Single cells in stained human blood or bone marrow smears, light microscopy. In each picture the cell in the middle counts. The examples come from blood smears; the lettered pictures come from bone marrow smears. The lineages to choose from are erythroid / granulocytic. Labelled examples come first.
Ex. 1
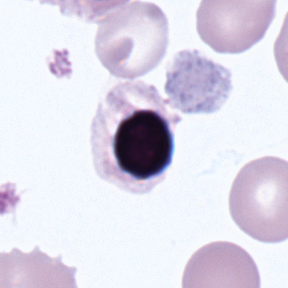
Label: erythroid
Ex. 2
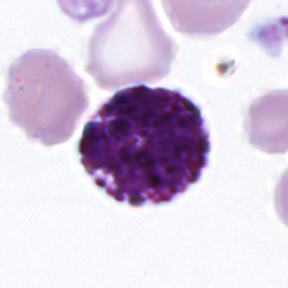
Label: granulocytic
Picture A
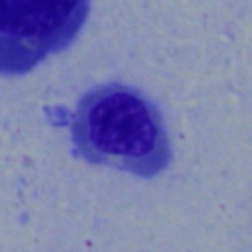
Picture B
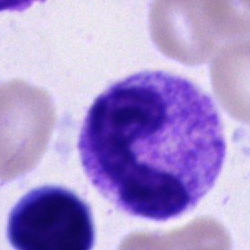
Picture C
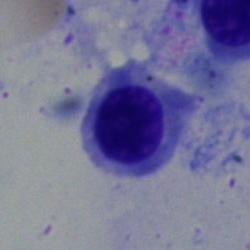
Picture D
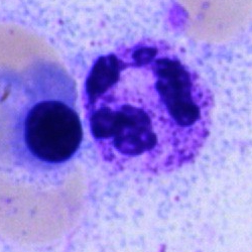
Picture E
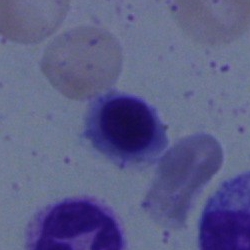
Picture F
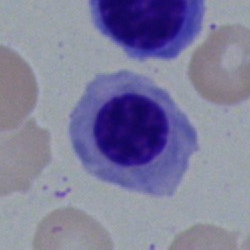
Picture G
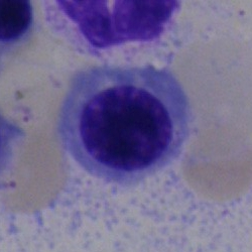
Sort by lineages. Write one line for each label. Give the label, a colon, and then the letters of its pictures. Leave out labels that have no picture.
erythroid: A, C, E, F, G
granulocytic: B, D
